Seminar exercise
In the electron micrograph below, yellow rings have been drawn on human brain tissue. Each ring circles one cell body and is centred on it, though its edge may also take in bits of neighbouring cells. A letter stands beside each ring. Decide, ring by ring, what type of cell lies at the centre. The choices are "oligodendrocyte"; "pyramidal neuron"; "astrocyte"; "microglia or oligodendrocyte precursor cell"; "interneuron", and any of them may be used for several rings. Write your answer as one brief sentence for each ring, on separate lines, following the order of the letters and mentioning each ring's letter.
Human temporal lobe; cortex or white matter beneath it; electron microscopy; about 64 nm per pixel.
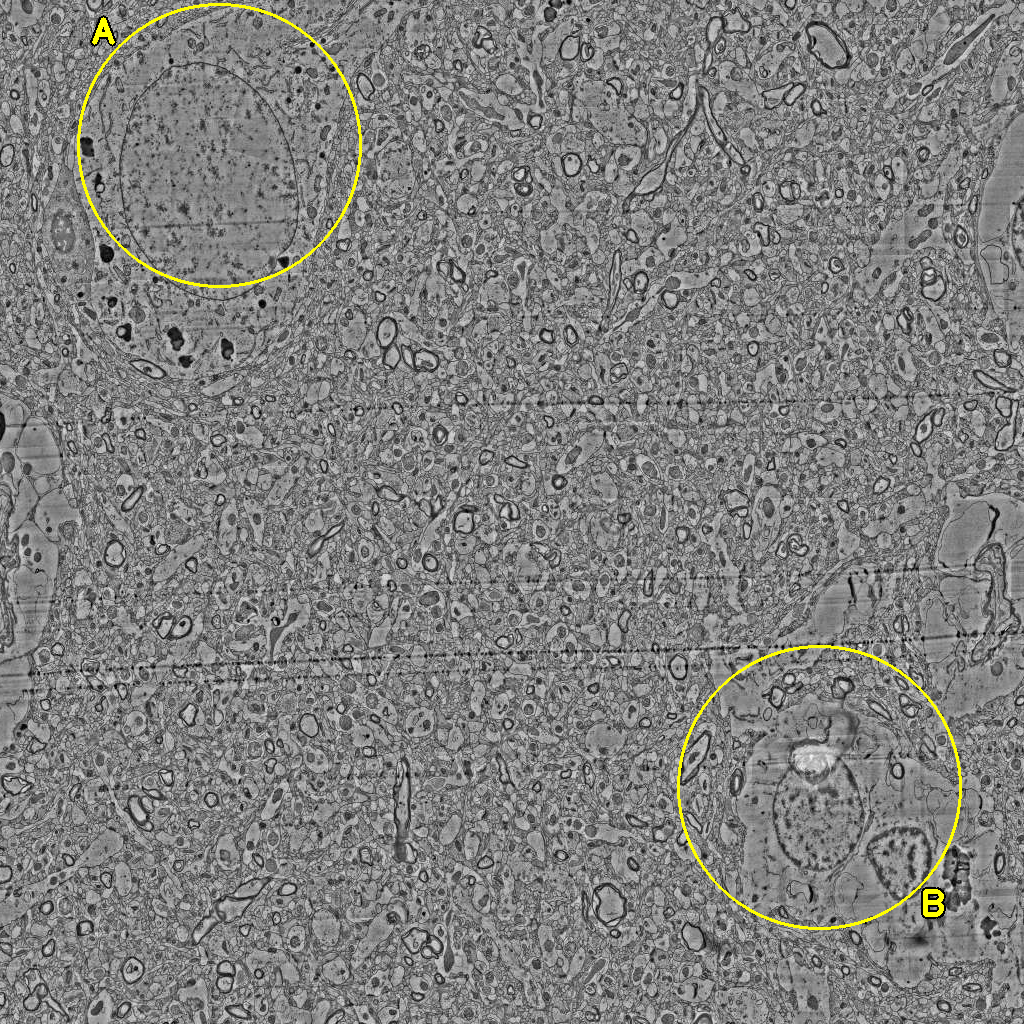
The cell in the middle of ring A is a pyramidal neuron.
The cell in the middle of ring B is an astrocyte.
